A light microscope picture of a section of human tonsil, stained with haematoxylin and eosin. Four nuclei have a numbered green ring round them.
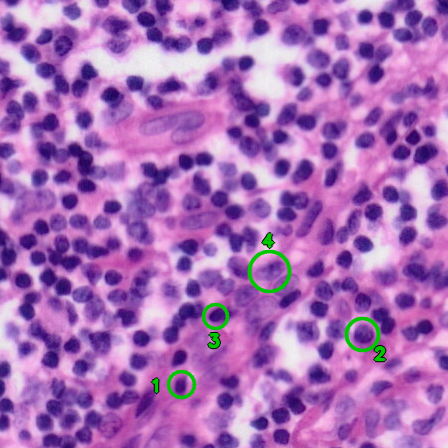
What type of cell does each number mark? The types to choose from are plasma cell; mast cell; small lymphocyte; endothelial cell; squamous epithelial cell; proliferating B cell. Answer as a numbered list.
1. endothelial cell
2. plasma cell
3. endothelial cell
4. endothelial cell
